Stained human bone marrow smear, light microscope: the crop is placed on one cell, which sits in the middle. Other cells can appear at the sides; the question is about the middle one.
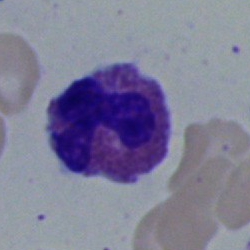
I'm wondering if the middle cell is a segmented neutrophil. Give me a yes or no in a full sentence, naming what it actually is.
No, the cell in the middle is an eosinophil; it is not a segmented neutrophil.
